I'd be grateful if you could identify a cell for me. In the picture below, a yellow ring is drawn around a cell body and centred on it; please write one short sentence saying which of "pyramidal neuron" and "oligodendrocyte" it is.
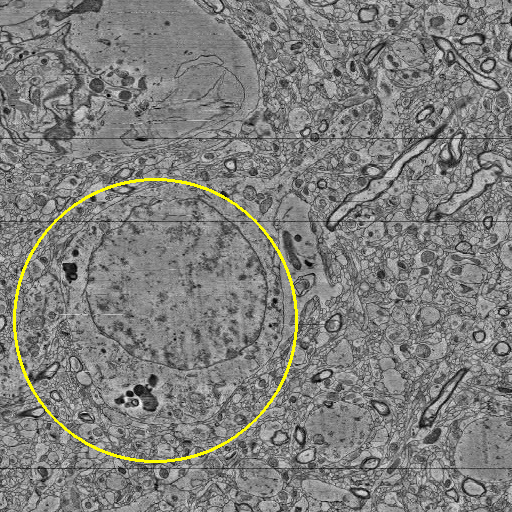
The cell under the ring's centre is a pyramidal neuron.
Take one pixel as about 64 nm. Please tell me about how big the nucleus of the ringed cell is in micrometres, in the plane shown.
Roughly 12 micrometres across, measured in this plane.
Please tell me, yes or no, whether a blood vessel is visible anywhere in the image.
Yes.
